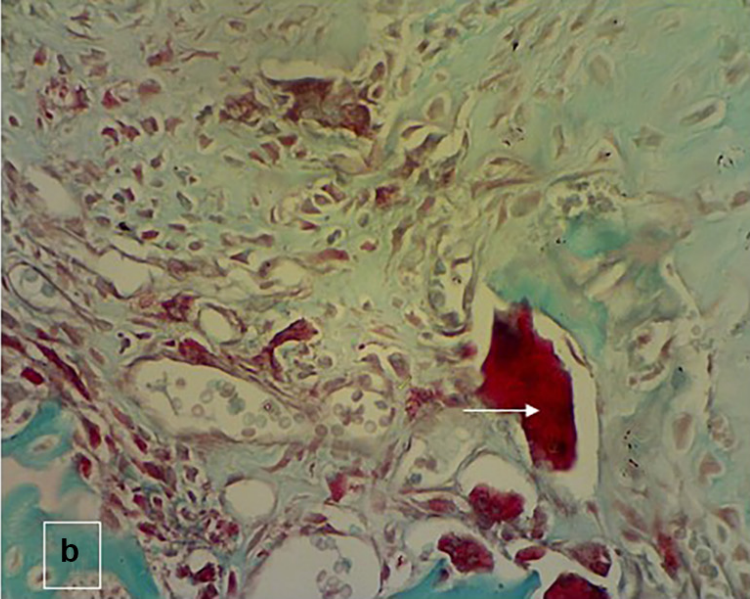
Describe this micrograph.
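The background matrix is pale, with fibrous strands and patches of green-stained matrix, especially toward the lower left and right edges. Several rounded spaces contain small round cells, consistent with blood vessels. A large, intensely red cell lies in a cleft beside green-stained matrix. Further red-stained cell masses are present along the lower border near the green matrix.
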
